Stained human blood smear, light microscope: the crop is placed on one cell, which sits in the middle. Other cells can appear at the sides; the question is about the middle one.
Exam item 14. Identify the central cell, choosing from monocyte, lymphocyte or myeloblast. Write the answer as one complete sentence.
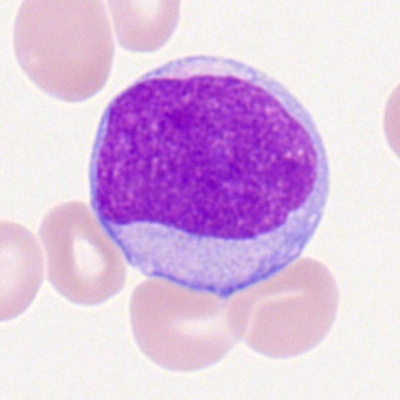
The cell found in the middle of this crop is a myeloblast.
